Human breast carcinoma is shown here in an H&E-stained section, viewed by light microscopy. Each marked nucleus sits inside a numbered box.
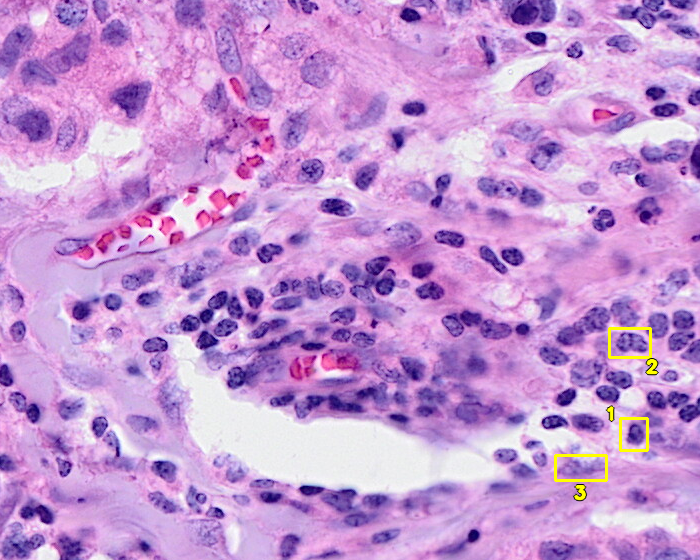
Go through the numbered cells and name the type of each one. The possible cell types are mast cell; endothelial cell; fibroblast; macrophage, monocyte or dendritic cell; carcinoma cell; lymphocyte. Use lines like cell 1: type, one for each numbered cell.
cell 1: lymphocyte
cell 2: lymphocyte
cell 3: fibroblast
